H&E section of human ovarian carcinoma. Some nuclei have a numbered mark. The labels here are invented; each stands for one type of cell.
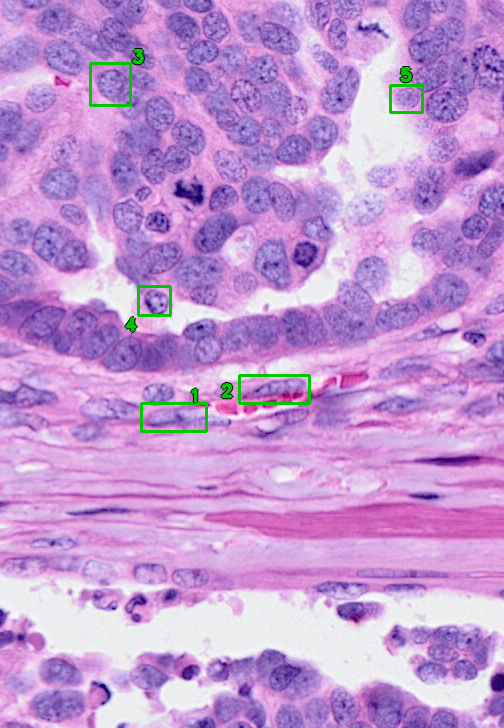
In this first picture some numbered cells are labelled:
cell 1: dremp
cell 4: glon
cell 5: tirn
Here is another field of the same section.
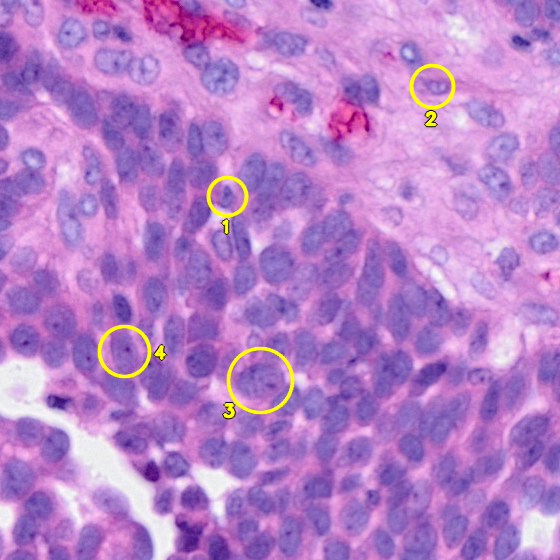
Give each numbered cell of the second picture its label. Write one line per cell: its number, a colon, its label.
1: glon
2: dremp
3: tirn
4: tirn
